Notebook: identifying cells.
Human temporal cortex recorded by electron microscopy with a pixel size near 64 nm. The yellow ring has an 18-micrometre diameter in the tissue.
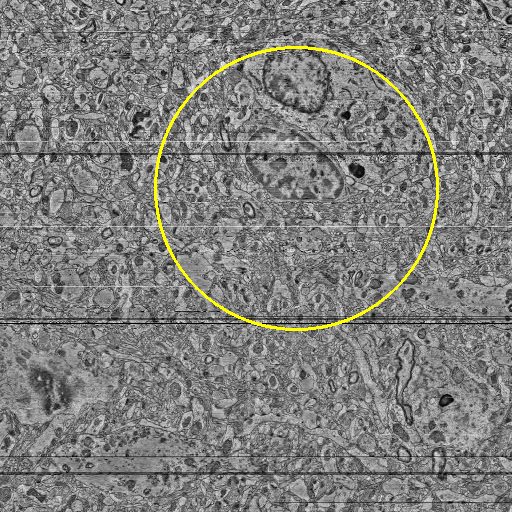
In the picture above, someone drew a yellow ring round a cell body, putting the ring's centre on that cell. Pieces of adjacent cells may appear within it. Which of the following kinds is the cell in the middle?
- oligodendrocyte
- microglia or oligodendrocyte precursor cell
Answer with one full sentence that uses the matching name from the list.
In this picture, the yellow ring is centred on the body of a microglial cell or oligodendrocyte precursor cell.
